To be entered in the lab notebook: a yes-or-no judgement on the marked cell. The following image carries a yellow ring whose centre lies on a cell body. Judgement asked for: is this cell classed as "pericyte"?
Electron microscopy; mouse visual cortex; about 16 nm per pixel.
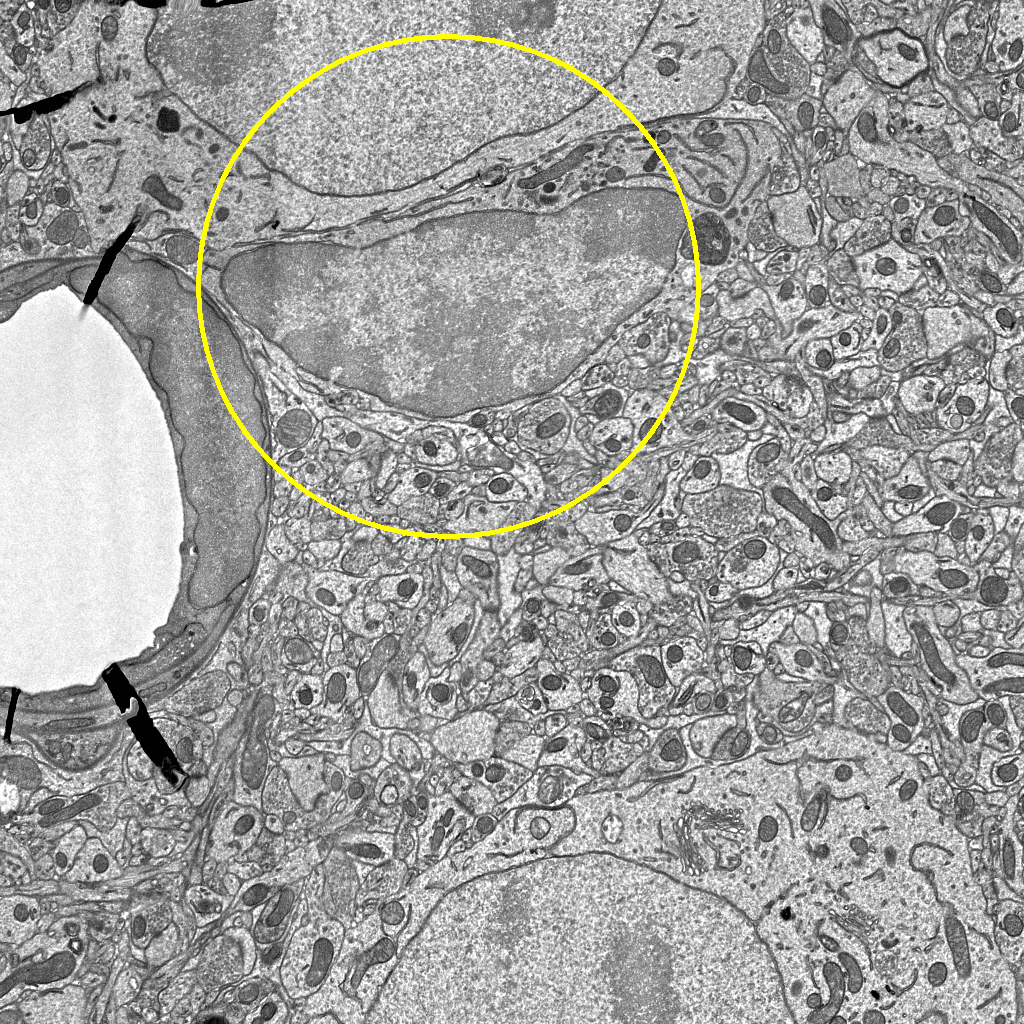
No, it falls in another class.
